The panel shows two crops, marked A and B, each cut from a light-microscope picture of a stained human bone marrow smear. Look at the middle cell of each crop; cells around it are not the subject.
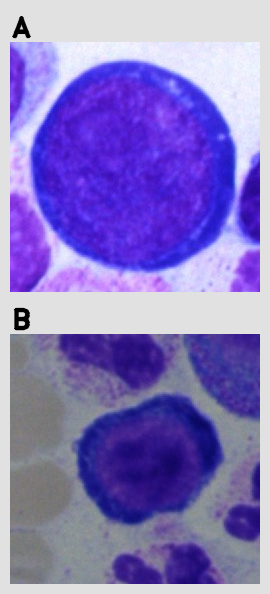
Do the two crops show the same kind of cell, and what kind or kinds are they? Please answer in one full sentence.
Yes, both crops show proerythroblasts in the centre of the field.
